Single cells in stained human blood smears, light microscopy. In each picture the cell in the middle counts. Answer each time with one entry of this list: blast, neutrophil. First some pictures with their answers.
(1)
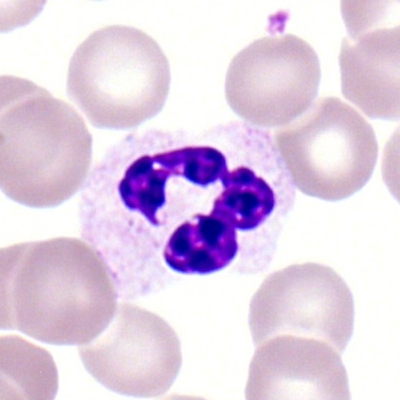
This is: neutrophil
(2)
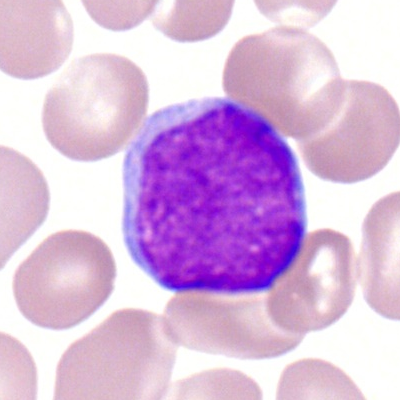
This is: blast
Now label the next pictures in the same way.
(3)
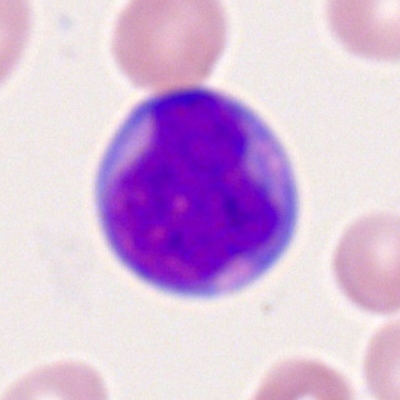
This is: blast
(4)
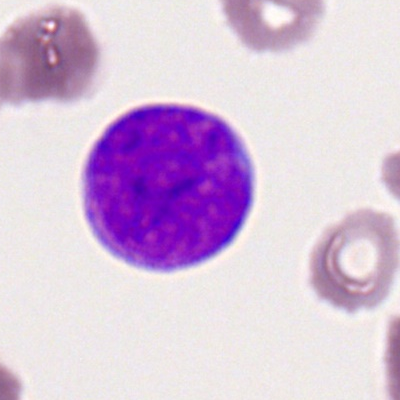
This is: blast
